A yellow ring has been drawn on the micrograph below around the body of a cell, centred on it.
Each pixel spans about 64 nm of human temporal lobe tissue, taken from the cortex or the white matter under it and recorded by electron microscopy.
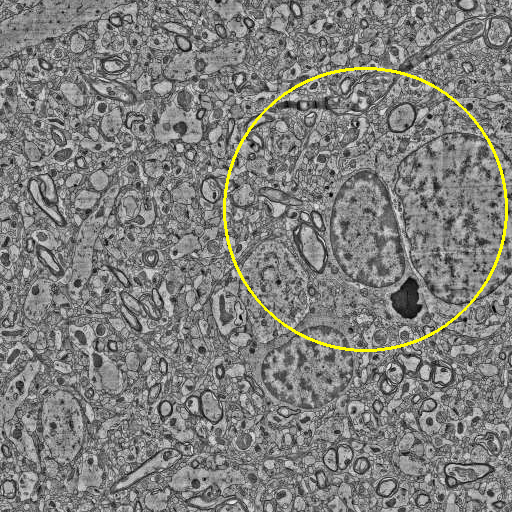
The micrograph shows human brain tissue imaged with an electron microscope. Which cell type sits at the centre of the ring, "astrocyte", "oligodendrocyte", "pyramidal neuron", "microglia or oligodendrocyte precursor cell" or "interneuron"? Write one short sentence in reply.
The cell sitting at the centre of the ring is an oligodendrocyte.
